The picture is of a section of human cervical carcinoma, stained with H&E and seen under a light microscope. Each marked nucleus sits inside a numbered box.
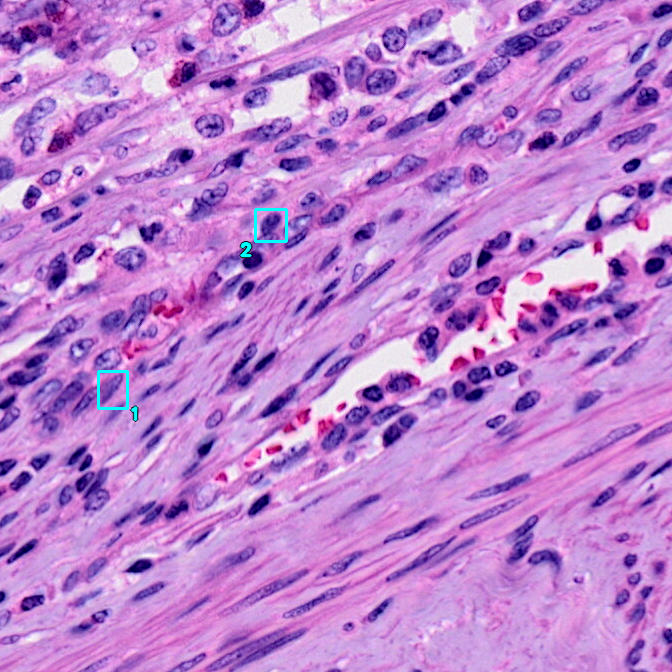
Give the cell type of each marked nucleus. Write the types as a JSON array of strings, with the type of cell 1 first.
["endothelial cell", "lymphocyte"]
